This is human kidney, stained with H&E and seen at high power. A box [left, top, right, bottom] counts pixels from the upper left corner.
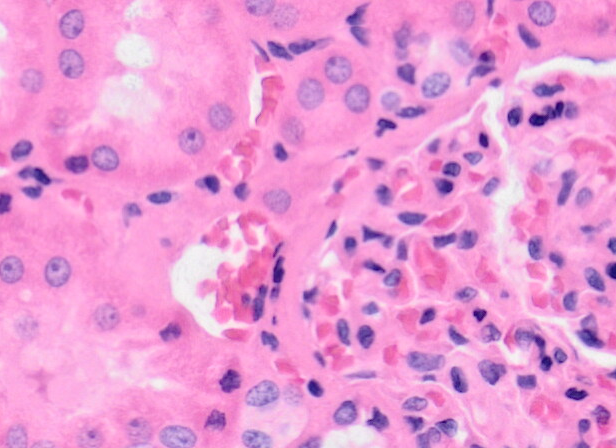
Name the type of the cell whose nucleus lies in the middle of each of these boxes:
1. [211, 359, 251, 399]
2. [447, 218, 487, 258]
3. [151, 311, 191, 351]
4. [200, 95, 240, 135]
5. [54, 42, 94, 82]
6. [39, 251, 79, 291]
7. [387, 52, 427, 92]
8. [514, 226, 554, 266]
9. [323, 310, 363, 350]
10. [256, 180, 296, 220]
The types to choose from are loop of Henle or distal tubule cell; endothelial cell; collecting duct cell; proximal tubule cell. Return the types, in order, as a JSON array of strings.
["proximal tubule cell", "endothelial cell", "proximal tubule cell", "proximal tubule cell", "proximal tubule cell", "proximal tubule cell", "collecting duct cell", "endothelial cell", "endothelial cell", "proximal tubule cell"]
